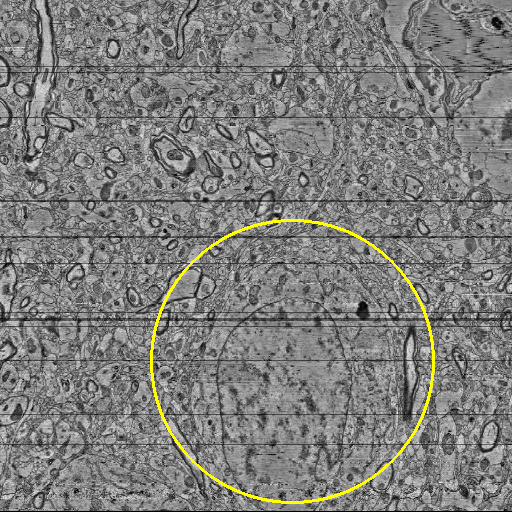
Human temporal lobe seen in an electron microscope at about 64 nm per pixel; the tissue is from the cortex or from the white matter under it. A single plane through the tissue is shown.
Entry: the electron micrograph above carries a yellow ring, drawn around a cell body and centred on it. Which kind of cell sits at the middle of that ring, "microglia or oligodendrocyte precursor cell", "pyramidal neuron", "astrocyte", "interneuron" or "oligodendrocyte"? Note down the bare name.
pyramidal neuron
